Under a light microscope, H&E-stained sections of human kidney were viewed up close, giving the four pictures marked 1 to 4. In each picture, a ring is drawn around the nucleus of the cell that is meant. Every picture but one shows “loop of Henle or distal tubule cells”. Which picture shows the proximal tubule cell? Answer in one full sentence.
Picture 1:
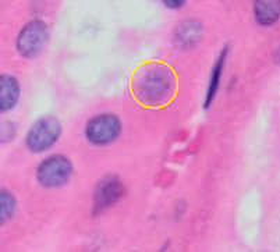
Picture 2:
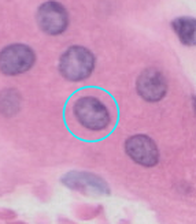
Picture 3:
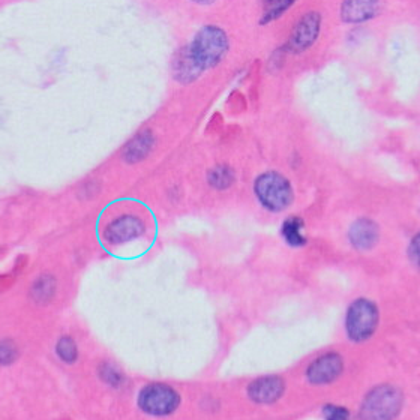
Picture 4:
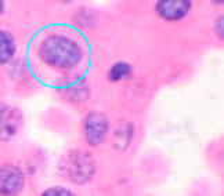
Picture 2 is the one that shows the proximal tubule cell.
